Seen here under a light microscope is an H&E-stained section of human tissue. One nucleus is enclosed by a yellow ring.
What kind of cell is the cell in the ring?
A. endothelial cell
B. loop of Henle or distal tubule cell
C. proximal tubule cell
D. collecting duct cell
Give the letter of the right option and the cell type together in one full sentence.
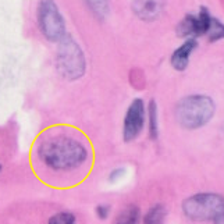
Option C stands as correct, with the cell in the ring being a proximal tubule cell.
